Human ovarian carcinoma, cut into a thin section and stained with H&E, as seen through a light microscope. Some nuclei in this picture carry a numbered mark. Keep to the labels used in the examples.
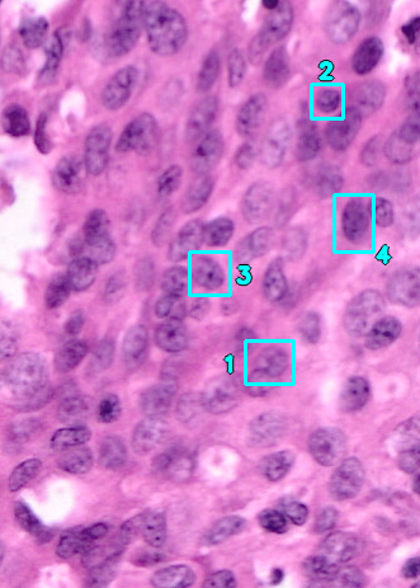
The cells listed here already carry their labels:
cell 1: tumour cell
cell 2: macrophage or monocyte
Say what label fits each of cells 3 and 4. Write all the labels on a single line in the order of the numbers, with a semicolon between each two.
macrophage or monocyte; tumour cell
